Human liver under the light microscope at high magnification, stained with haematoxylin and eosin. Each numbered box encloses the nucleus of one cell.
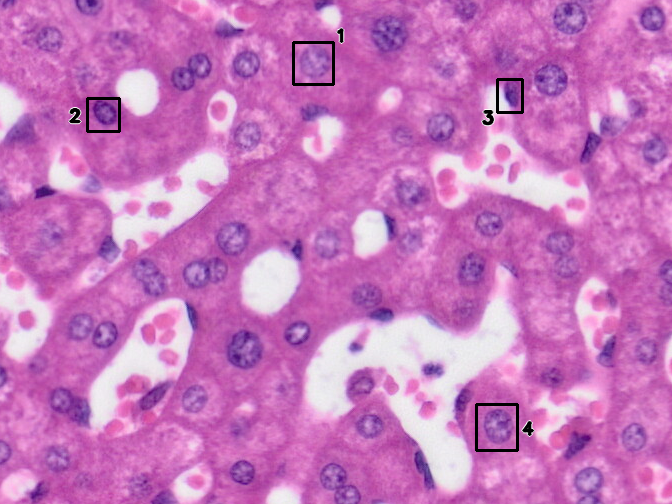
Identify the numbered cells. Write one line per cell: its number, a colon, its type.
1: hepatocyte
2: hepatocyte
3: endothelial cell
4: hepatocyte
